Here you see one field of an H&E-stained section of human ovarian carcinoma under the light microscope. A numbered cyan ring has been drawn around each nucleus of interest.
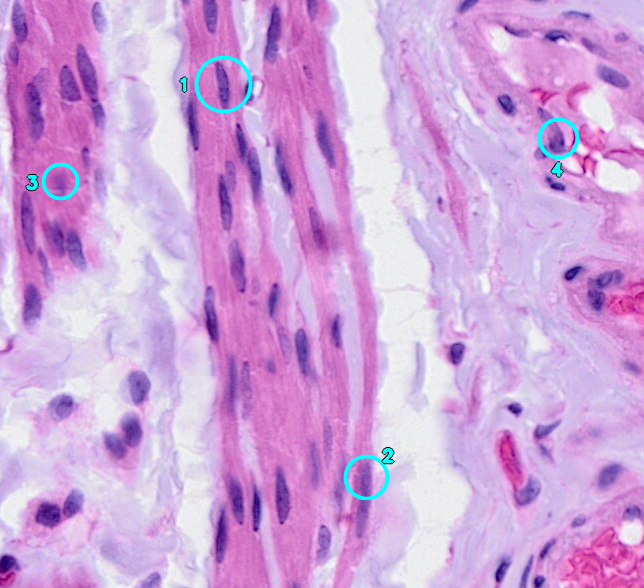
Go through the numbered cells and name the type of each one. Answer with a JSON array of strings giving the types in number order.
["smooth muscle cell", "smooth muscle cell", "smooth muscle cell", "endothelial cell"]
